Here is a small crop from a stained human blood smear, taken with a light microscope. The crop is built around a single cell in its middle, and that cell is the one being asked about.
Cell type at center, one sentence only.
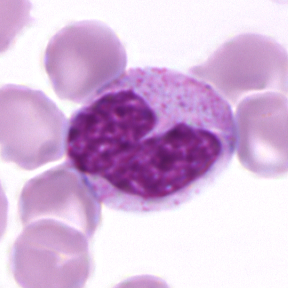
What sits at the centre of this crop is a band neutrophil.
